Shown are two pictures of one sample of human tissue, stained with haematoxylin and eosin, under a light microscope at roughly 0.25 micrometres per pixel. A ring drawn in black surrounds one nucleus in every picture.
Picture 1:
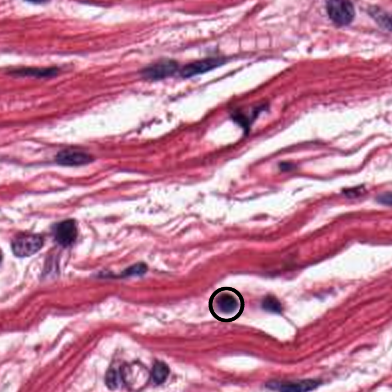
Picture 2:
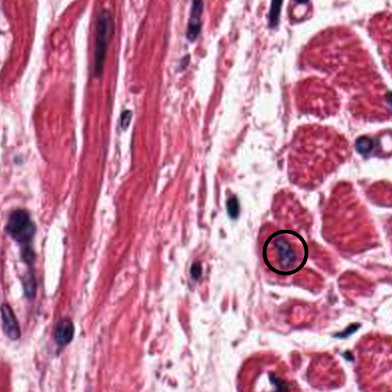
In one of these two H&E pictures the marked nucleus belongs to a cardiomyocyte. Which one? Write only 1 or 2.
2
